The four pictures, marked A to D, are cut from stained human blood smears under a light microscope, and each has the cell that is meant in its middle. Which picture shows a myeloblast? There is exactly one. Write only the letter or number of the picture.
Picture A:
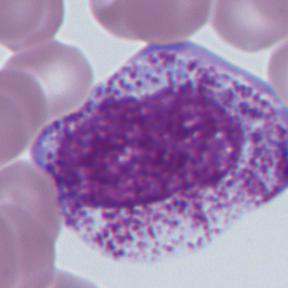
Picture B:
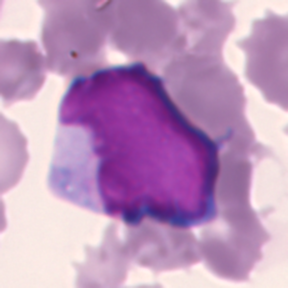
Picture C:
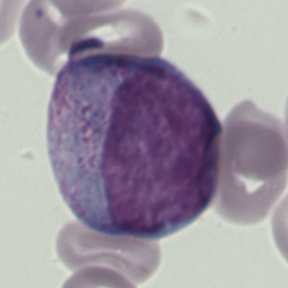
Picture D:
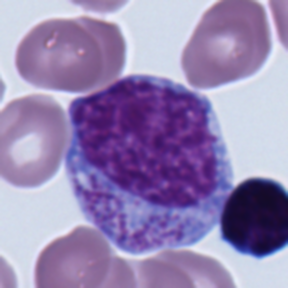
B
